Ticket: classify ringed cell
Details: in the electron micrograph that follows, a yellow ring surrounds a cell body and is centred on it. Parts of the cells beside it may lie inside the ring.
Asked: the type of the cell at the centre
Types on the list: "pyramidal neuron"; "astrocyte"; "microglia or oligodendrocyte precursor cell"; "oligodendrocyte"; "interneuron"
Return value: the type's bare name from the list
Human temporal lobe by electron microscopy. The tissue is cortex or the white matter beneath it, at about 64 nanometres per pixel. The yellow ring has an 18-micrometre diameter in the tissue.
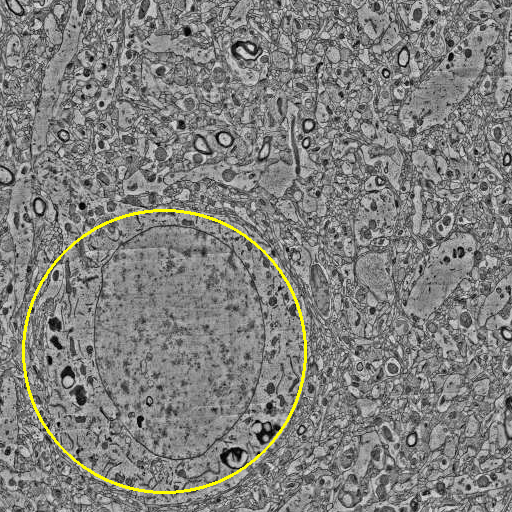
pyramidal neuron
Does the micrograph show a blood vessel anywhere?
No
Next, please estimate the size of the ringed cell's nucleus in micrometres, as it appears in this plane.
About 15 by 11 micrometers, in this plane.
